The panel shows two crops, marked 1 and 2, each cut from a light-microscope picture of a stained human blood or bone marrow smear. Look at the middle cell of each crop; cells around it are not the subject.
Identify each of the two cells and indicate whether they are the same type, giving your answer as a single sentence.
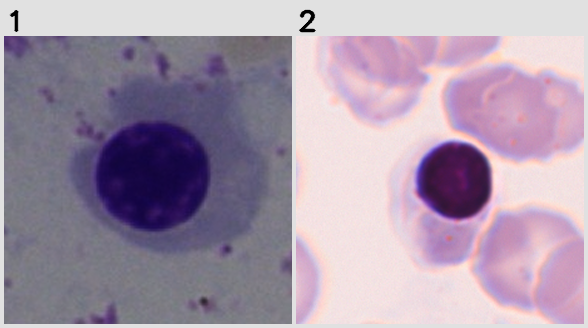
Yes, the two central cells, one per crop, are erythroblasts.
